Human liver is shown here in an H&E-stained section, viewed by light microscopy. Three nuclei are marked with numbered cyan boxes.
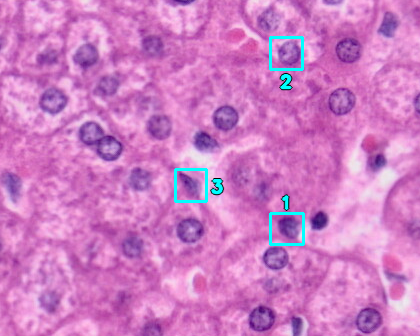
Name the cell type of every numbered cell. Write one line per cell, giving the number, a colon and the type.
1: fibroblast or stellate cell
2: hepatocyte
3: endothelial cell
